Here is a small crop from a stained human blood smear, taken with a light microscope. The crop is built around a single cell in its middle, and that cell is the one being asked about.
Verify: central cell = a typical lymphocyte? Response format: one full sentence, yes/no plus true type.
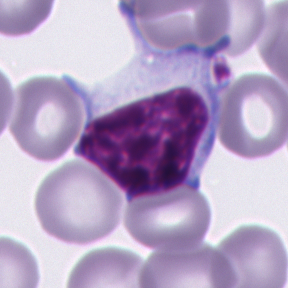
Yes, in this crop the cell in the middle is a typical lymphocyte.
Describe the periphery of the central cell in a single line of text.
Rather than running smoothly, the cell border is ragged or carries projections.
